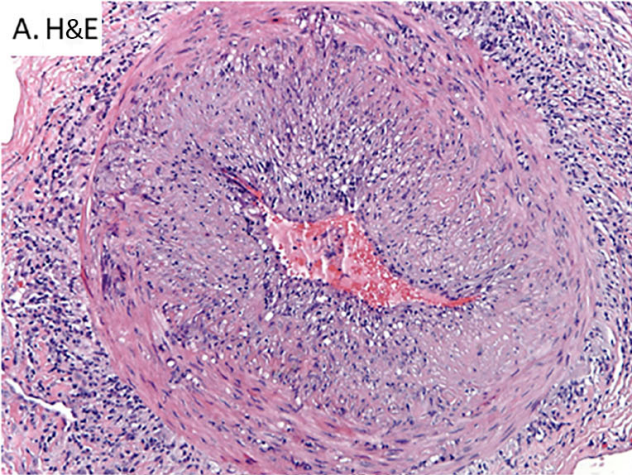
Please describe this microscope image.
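A cross-section of a muscular artery whose wall is greatly thickened: a broad pink, cellular inner layer with spindle-shaped nuclei fills most of the vessel and narrows the lumen to a slit-like channel containing red blood cells. A thin pink ring of the outer wall encircles it, and beyond, the surrounding tissue is crowded with small dark-blue nuclei of inflammatory cells, which also scatter into the wall. This is an inflamed artery with inflammation through the whole wall and marked luminal narrowing caused by intimal proliferation.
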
